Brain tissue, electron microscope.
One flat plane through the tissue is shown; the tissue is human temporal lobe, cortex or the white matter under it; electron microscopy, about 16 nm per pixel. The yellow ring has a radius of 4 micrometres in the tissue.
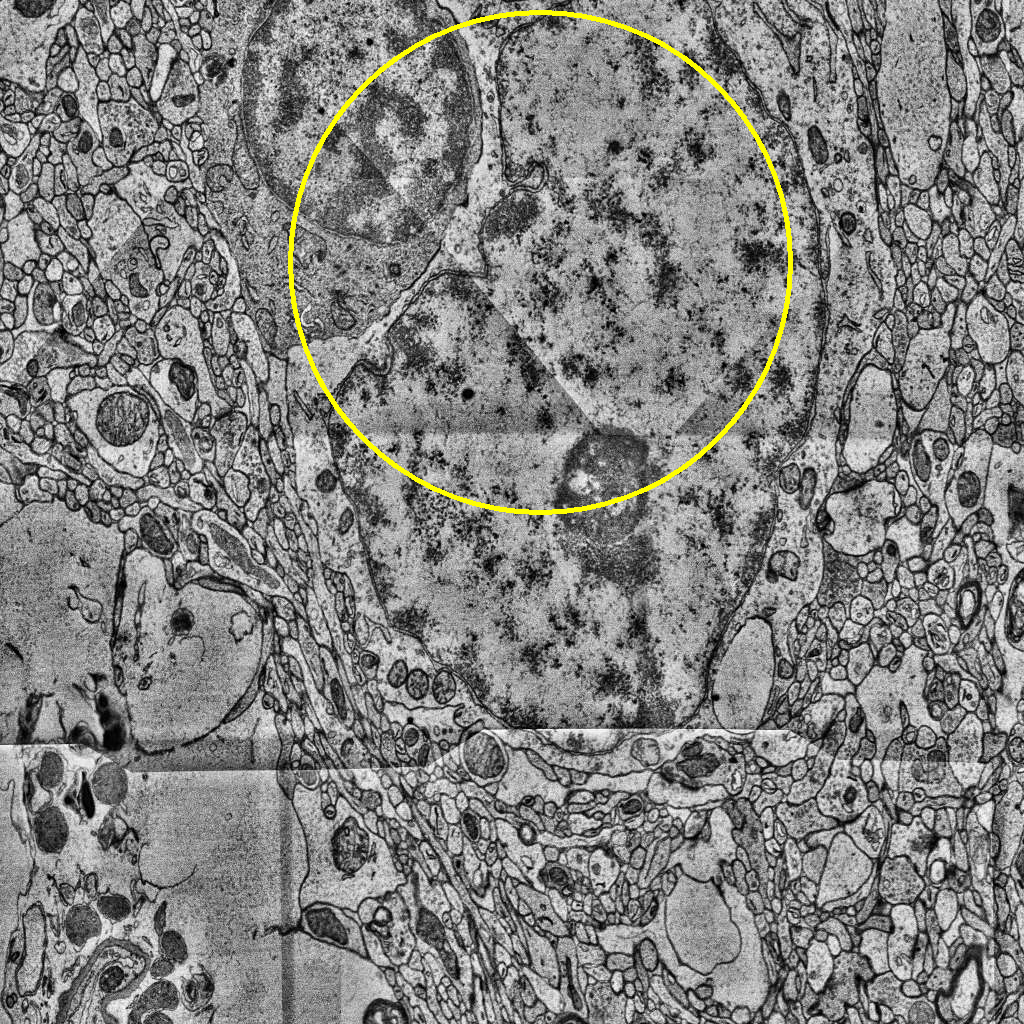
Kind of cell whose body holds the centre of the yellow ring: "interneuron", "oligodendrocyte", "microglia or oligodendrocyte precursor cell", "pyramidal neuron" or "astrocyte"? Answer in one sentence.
The ring's centre falls on an interneuron.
